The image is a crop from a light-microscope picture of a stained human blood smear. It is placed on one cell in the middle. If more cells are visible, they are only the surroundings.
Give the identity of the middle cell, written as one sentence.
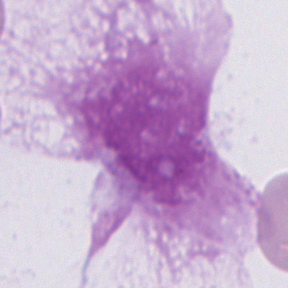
The cell at the heart of this crop is a smudge cell.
